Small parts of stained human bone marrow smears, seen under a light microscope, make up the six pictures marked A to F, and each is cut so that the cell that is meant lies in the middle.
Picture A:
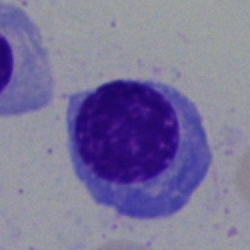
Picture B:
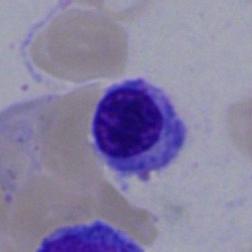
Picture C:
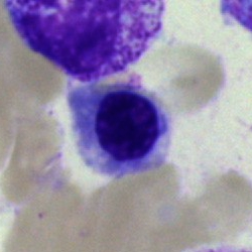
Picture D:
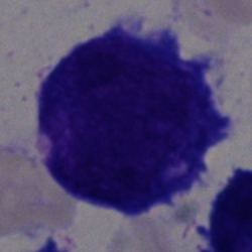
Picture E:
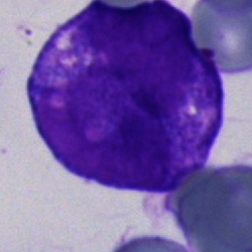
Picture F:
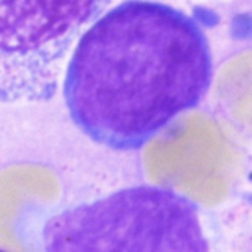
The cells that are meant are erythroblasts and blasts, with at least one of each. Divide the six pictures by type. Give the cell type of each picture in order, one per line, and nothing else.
erythroblast
erythroblast
erythroblast
blast
blast
blast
